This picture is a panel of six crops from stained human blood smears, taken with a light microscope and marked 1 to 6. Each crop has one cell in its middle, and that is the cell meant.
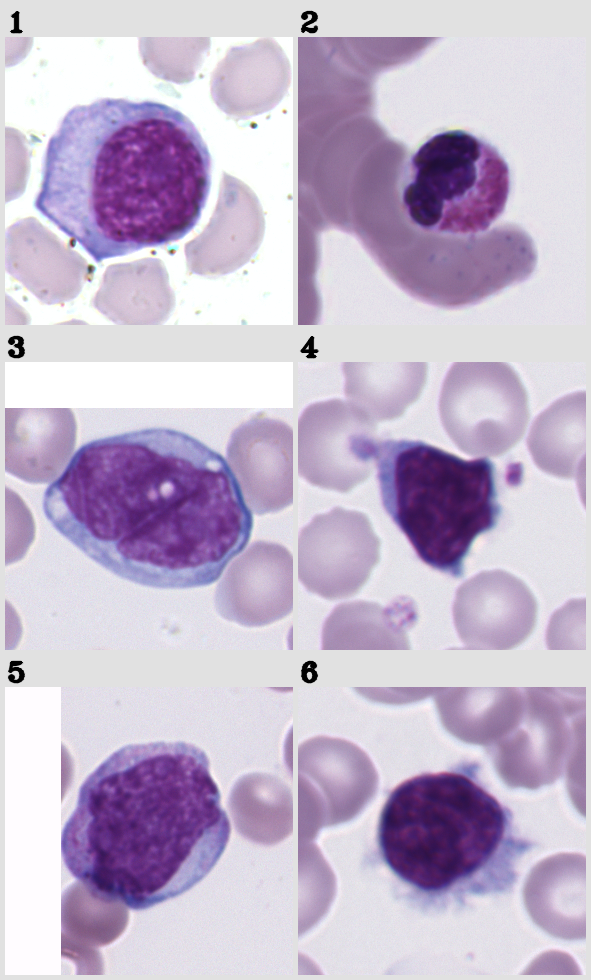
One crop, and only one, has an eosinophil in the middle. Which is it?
2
